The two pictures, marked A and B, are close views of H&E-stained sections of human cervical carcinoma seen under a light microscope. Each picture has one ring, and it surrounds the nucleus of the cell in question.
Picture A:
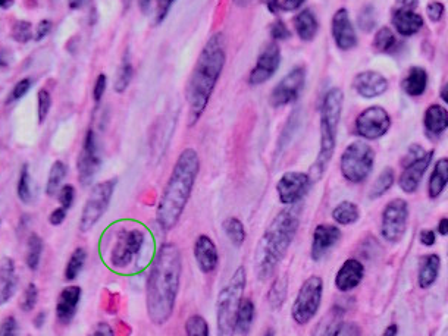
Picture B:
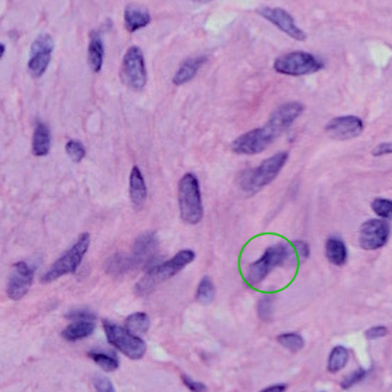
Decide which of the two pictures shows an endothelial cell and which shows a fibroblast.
A: endothelial cell
B: fibroblast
